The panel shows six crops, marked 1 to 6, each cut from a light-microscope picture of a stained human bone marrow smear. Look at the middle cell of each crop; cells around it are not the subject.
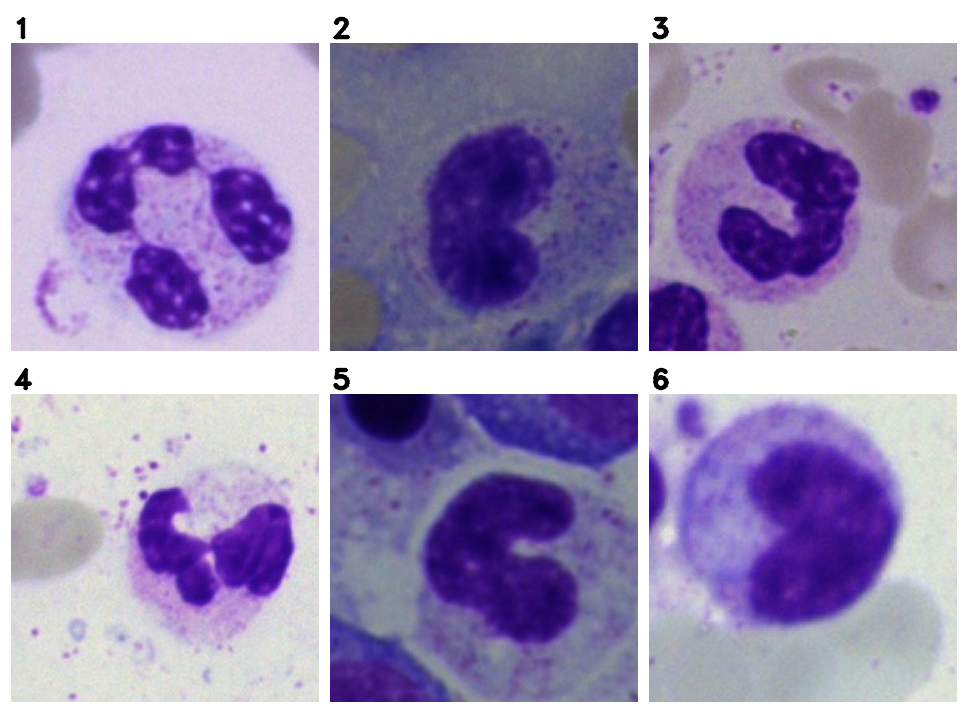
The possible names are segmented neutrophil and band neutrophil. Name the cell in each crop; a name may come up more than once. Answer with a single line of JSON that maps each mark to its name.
{"1": "segmented neutrophil", "2": "band neutrophil", "3": "segmented neutrophil", "4": "segmented neutrophil", "5": "band neutrophil", "6": "band neutrophil"}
